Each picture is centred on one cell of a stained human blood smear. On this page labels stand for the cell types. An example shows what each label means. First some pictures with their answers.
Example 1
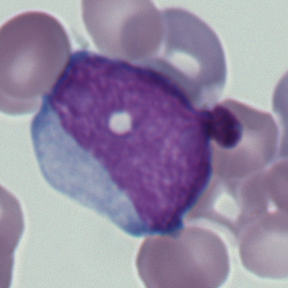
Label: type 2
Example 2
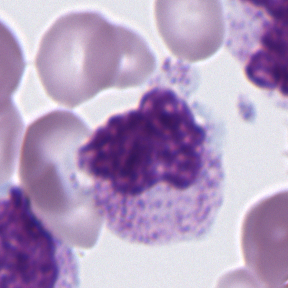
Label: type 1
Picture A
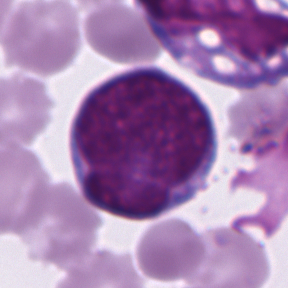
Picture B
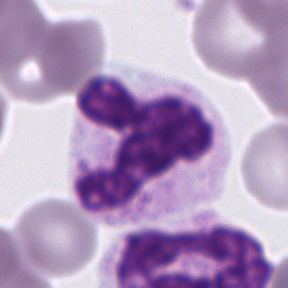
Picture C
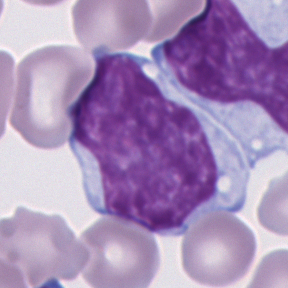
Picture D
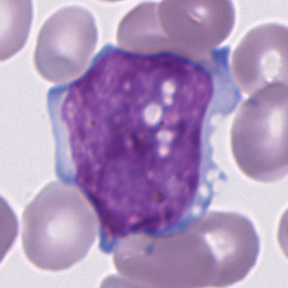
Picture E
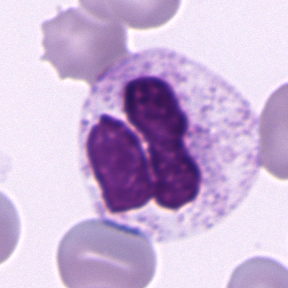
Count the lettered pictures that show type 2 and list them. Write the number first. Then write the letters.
3, namely A, C, D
